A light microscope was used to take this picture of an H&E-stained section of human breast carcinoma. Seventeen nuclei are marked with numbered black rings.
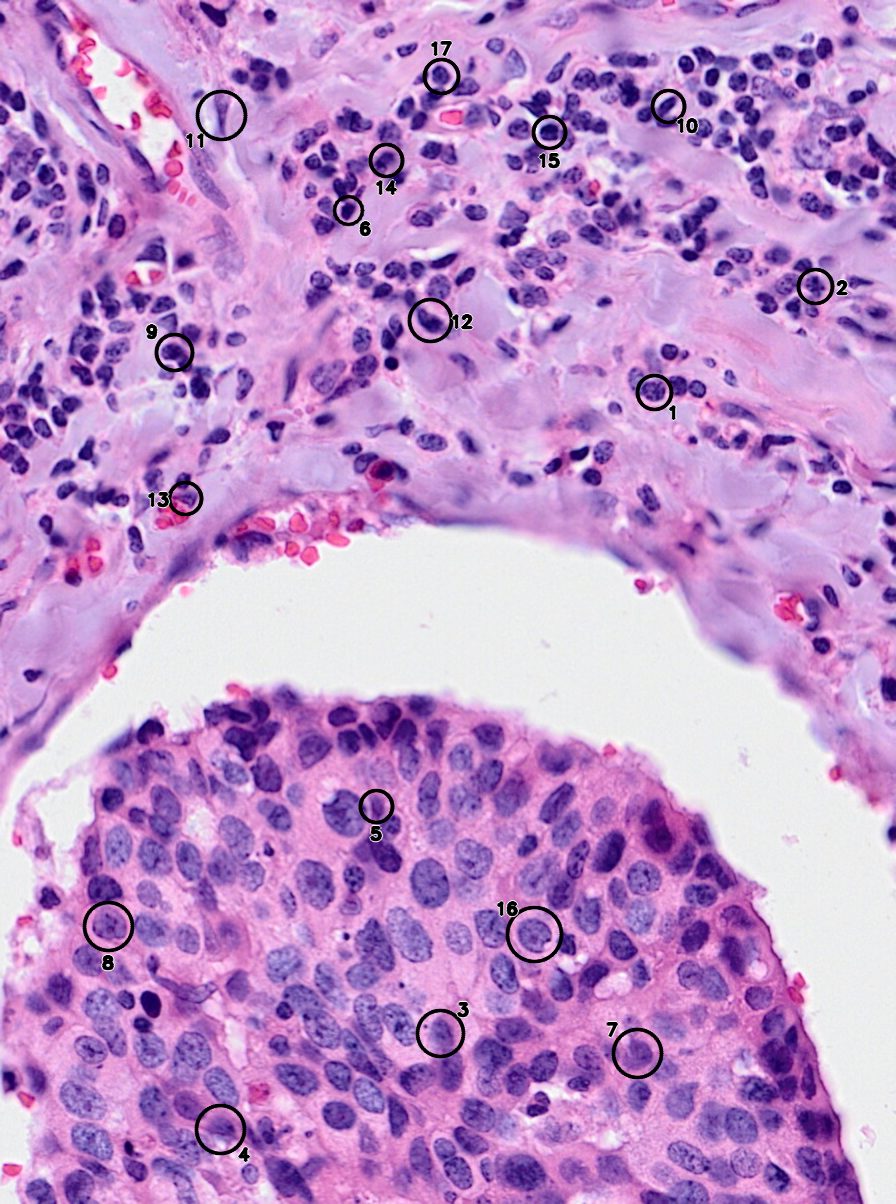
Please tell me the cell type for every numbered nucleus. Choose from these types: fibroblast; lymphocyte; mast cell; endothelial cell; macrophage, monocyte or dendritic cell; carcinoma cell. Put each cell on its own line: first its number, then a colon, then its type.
1: lymphocyte
2: lymphocyte
3: carcinoma cell
4: carcinoma cell
5: carcinoma cell
6: lymphocyte
7: carcinoma cell
8: carcinoma cell
9: lymphocyte
10: lymphocyte
11: fibroblast
12: lymphocyte
13: endothelial cell
14: lymphocyte
15: lymphocyte
16: carcinoma cell
17: lymphocyte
